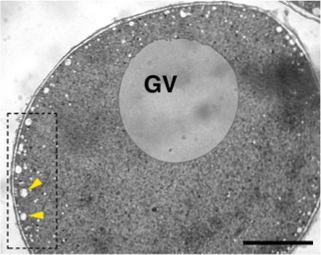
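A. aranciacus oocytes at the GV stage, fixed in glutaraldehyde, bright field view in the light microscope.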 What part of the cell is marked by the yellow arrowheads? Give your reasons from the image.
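Large vesicles. Pale round vesicles larger than their neighbours lie just beneath the oocyte surface. The arrowheads point into the cortical zone inside the dashed box.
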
